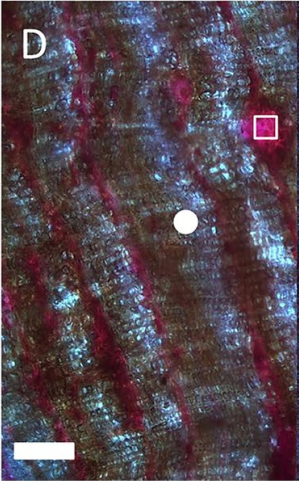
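The cells appear pale, with a whitish-blue and tan tint, and their walls form a fine grid. Thin reddish-magenta streaks run obliquely between the bands. At one place these streaks widen into a small bright pink patch. The result is a fairly uniform, cork-like layered structure.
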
